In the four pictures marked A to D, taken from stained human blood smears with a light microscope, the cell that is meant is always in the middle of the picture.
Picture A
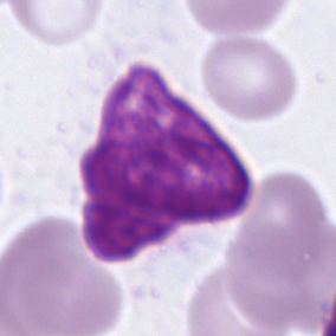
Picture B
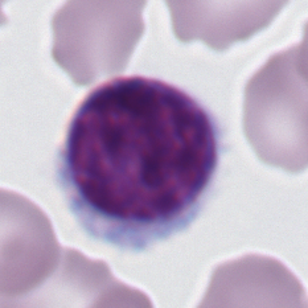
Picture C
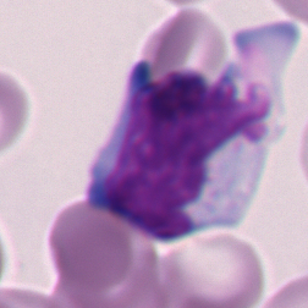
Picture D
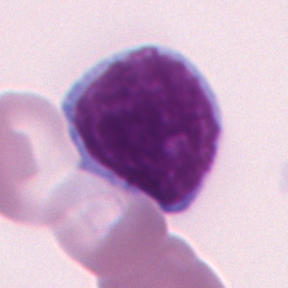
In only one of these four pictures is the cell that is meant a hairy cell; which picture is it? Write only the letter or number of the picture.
B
